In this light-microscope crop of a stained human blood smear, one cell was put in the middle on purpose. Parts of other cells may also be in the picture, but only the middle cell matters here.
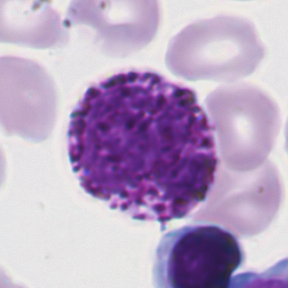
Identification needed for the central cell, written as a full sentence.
In this crop, the cell at the very middle is a basophil.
